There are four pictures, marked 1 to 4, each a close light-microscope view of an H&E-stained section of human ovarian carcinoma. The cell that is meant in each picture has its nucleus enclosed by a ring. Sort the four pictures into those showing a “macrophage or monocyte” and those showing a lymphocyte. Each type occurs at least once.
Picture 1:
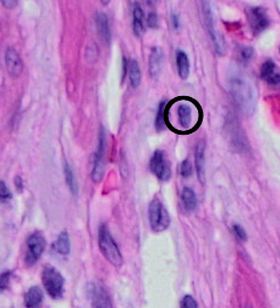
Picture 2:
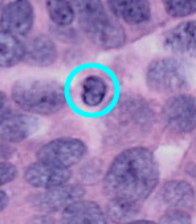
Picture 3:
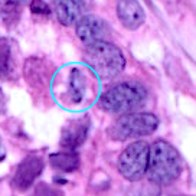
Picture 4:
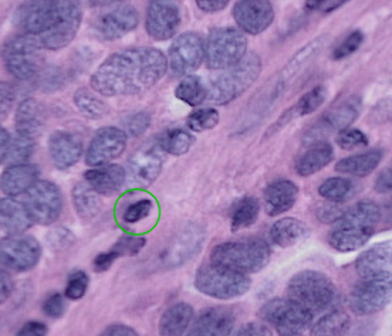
1: lymphocyte
2: lymphocyte
3: macrophage or monocyte
4: lymphocyte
